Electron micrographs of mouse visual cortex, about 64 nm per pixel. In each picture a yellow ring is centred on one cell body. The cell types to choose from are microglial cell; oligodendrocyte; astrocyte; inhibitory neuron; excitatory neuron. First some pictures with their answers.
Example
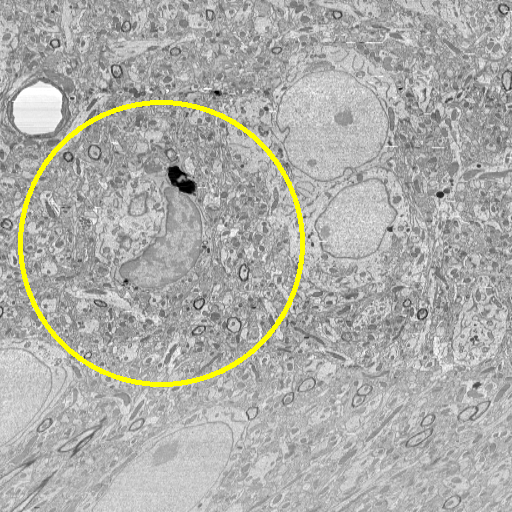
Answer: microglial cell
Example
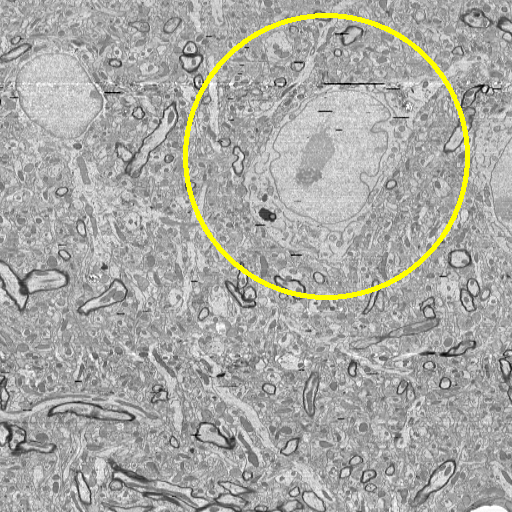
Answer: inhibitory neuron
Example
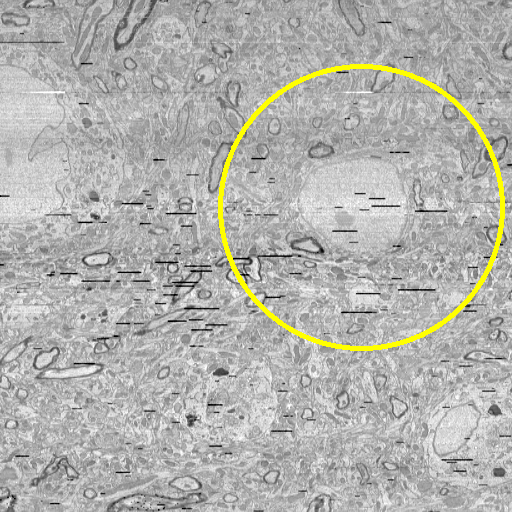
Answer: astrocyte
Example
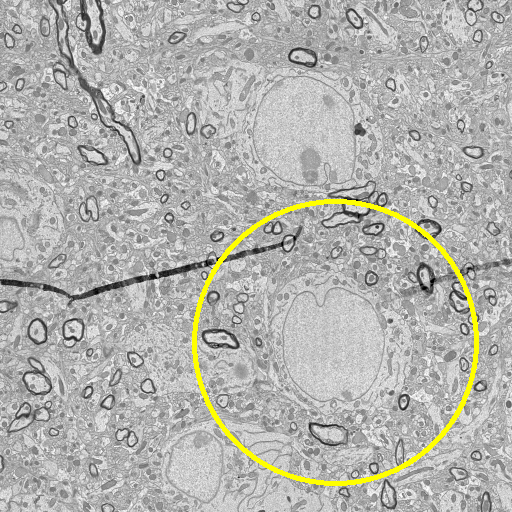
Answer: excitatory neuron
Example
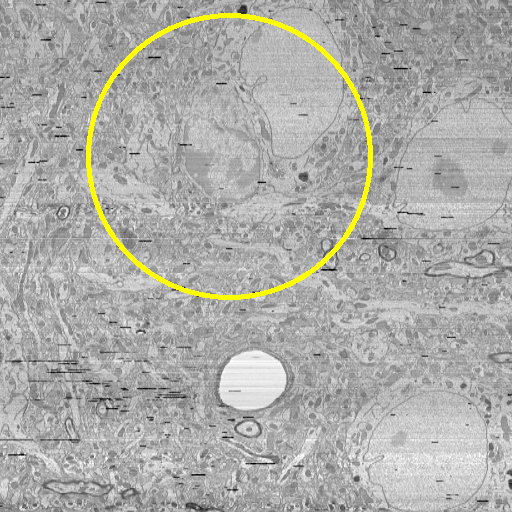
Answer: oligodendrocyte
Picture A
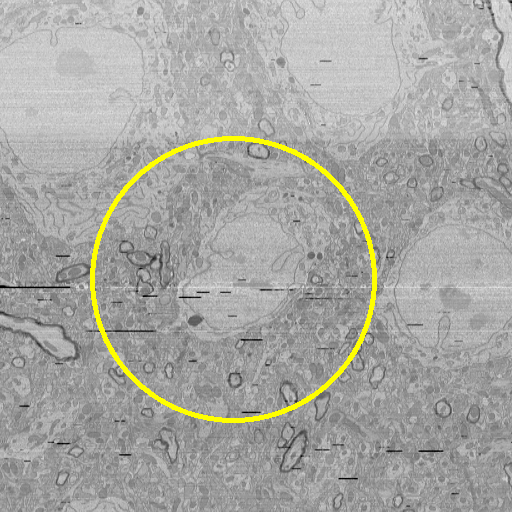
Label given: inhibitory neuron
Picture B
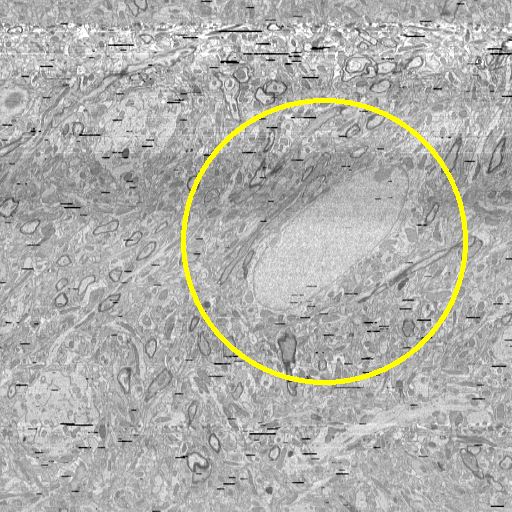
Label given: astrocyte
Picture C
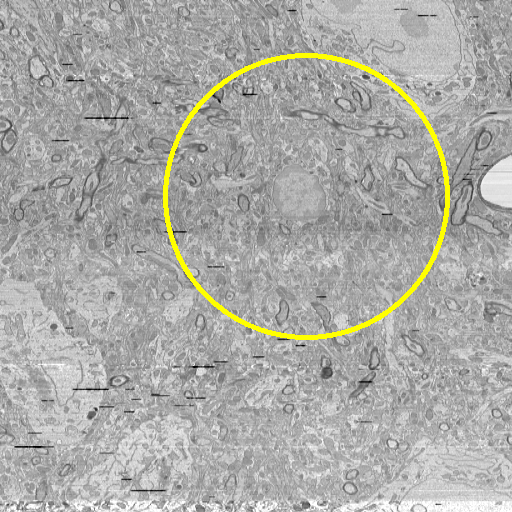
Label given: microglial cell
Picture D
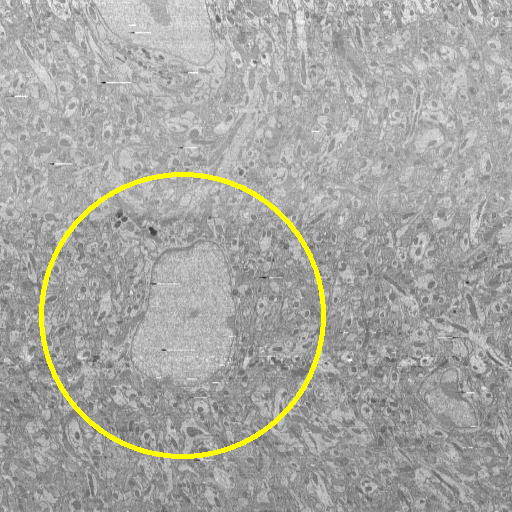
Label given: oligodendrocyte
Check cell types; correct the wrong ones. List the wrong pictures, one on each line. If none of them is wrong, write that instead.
Wrong: D (oligodendrocyte); correct: astrocyte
